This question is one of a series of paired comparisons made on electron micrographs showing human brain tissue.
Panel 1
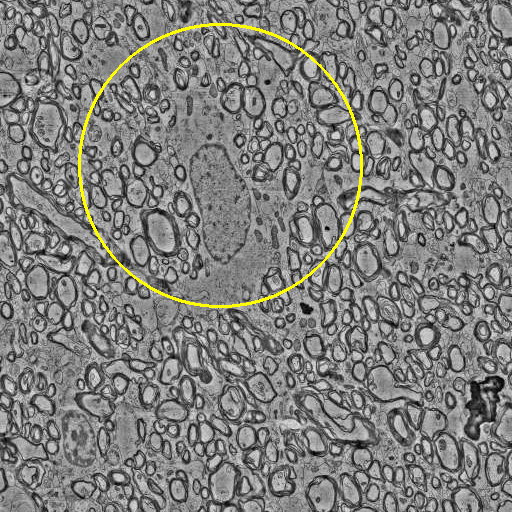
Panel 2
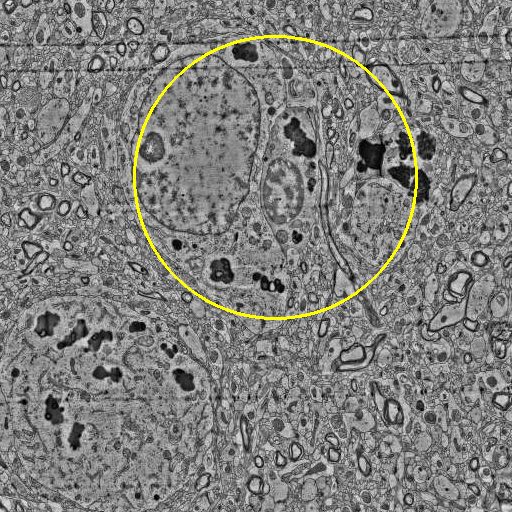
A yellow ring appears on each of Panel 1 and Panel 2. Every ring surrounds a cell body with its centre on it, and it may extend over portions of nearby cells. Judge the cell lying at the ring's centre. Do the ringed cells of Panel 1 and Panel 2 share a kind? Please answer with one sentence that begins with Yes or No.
No, the ring-centre cell in Panel 1 and the one in Panel 2 are of two kinds.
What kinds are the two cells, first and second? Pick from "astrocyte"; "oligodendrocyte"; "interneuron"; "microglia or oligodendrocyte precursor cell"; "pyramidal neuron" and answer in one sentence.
The second picture holds an oligodendrocyte in its ring, and the first holds an astrocyte.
